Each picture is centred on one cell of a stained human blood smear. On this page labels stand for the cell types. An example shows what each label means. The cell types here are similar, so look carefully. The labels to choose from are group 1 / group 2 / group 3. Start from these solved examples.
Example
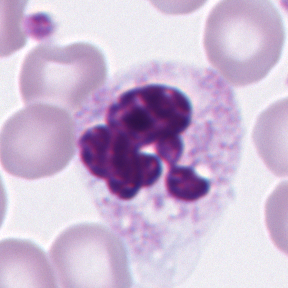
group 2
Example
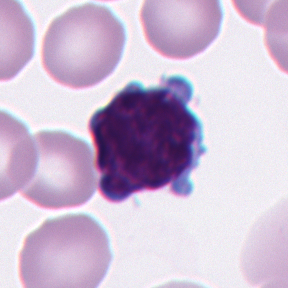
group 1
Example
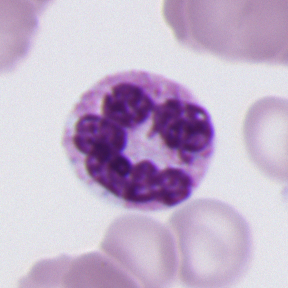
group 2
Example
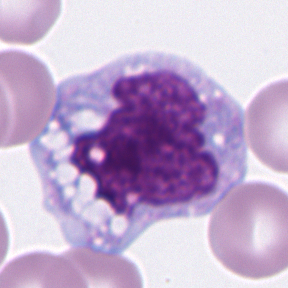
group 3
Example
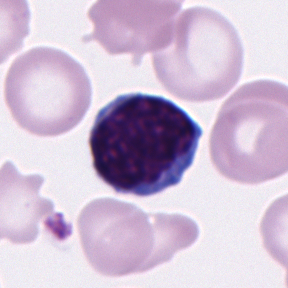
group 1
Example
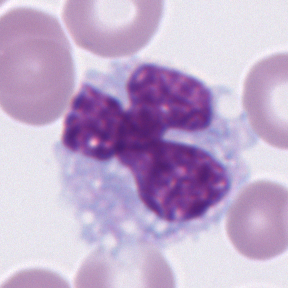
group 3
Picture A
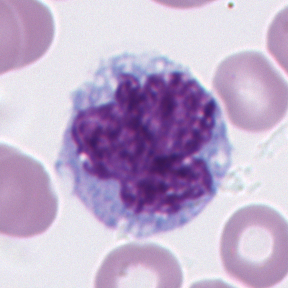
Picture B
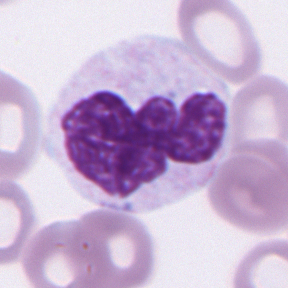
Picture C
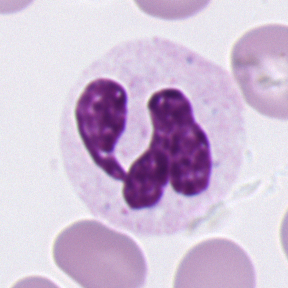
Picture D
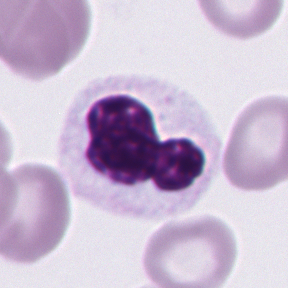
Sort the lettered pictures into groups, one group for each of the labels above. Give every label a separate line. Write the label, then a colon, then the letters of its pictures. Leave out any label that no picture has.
group 2: B, C, D
group 3: A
